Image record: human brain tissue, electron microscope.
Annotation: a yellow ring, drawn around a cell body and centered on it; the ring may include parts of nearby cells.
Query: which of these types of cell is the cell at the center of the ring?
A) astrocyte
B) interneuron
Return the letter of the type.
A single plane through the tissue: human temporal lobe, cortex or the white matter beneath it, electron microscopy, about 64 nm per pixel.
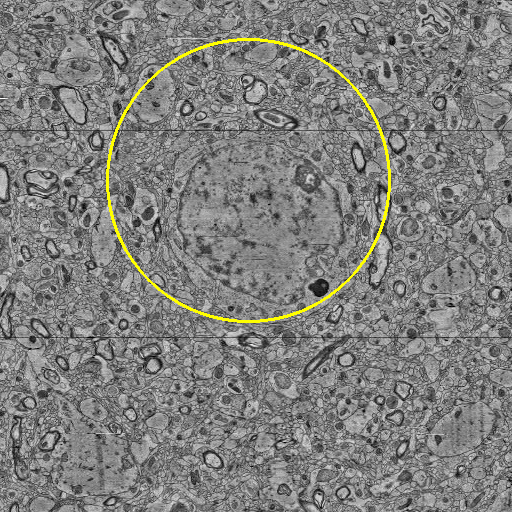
B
